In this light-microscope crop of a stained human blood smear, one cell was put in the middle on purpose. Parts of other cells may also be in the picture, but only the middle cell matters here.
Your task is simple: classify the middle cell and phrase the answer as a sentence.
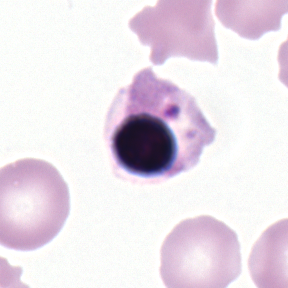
What the crop centres on is a normoblast.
